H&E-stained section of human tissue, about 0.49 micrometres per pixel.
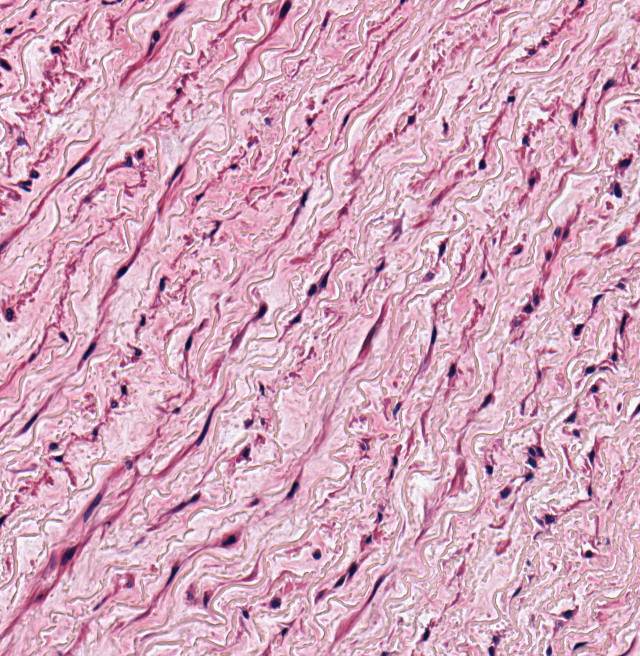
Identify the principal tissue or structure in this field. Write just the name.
tunica media of an artery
